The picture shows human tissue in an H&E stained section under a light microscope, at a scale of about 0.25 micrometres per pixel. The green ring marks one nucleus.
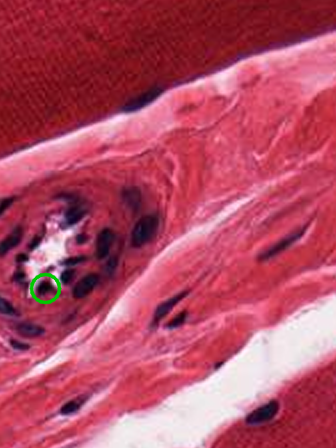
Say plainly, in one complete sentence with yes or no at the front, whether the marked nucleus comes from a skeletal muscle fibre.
No, the marked nucleus, which belongs to a supporting cell, is not part of a skeletal muscle fibre.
